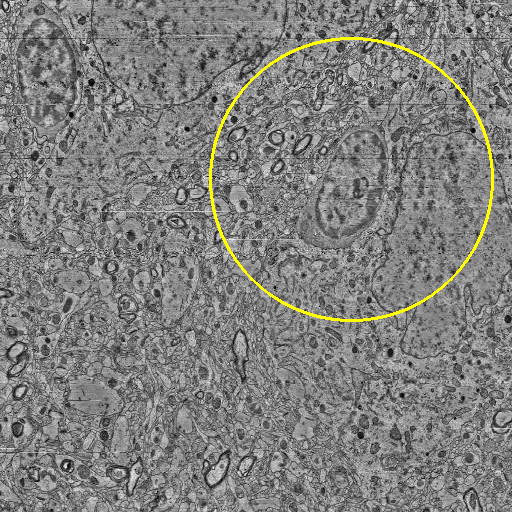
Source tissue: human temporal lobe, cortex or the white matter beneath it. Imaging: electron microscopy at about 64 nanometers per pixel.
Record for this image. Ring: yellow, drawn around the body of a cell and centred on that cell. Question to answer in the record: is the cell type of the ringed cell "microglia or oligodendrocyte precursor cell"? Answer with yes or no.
no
